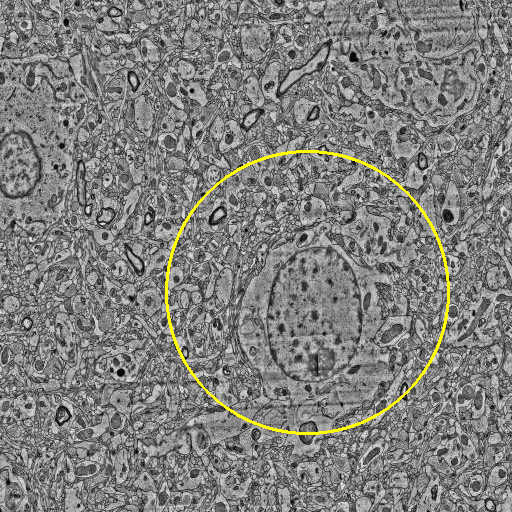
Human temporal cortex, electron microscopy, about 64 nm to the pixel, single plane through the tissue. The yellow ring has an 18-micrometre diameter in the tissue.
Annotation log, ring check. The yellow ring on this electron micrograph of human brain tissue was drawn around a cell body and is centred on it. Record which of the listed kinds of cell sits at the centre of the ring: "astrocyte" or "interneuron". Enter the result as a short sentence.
The cell at the centre of the ring is an astrocyte.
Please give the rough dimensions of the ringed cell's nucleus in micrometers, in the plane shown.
In this plane, roughly 9 by 6 micrometres.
